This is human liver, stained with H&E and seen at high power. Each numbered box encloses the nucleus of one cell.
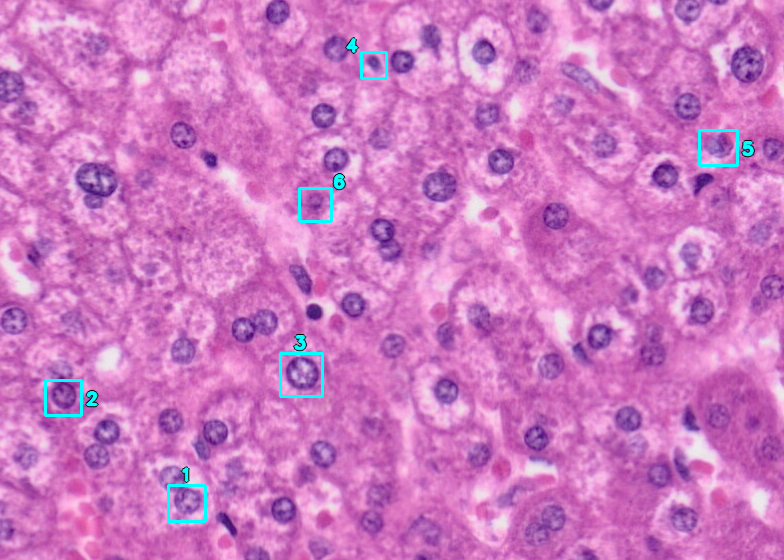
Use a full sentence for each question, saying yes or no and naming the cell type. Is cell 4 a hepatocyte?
No, what is marked as number 4 is a lymphocyte rather than a hepatocyte.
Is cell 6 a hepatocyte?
Yes, the cell marked with number 6 is a hepatocyte.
